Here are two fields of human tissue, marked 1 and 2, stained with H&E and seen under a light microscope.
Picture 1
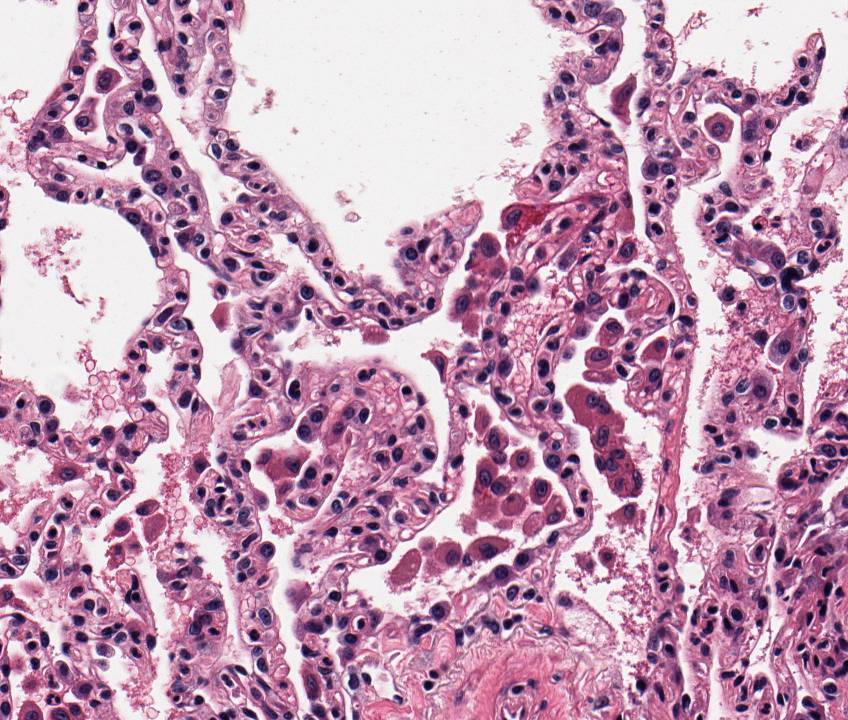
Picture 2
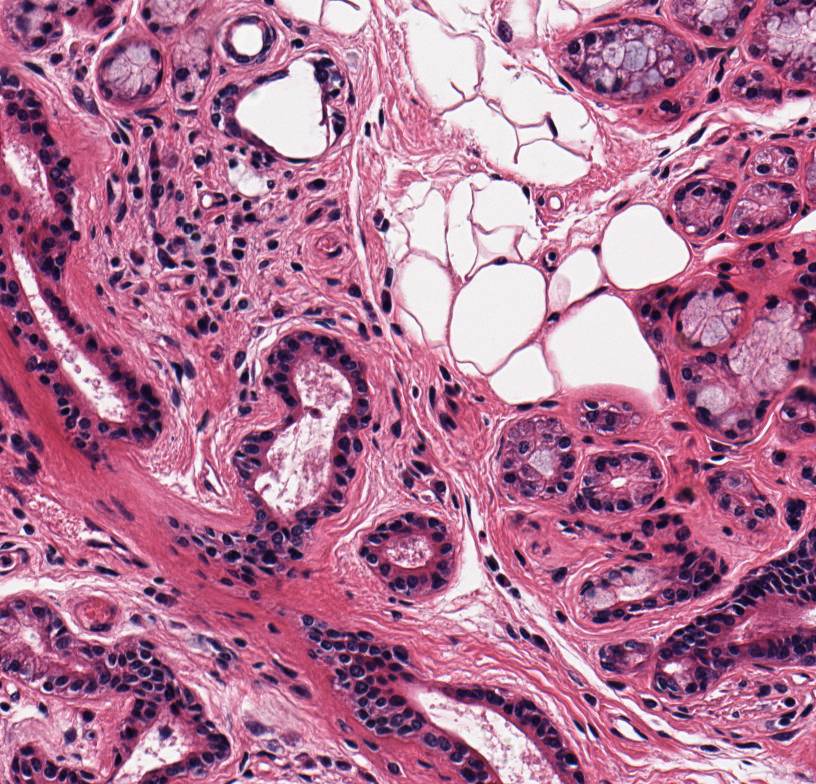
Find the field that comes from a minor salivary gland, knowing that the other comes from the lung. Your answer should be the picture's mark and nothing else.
2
